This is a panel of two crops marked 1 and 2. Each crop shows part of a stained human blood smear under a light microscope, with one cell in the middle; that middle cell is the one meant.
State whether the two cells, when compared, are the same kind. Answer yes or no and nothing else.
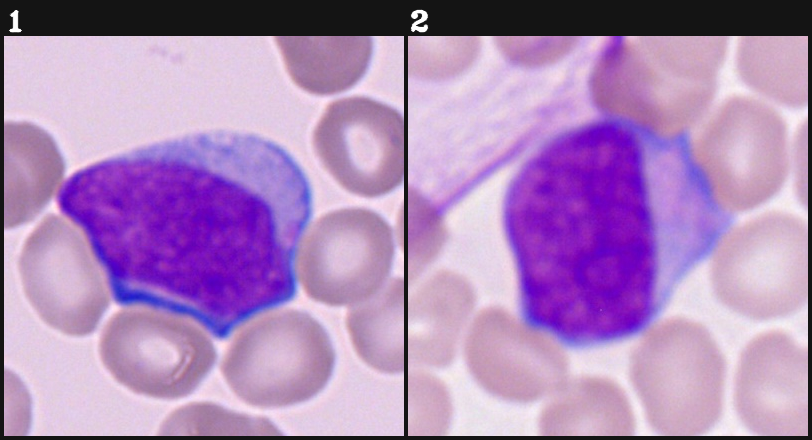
yes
